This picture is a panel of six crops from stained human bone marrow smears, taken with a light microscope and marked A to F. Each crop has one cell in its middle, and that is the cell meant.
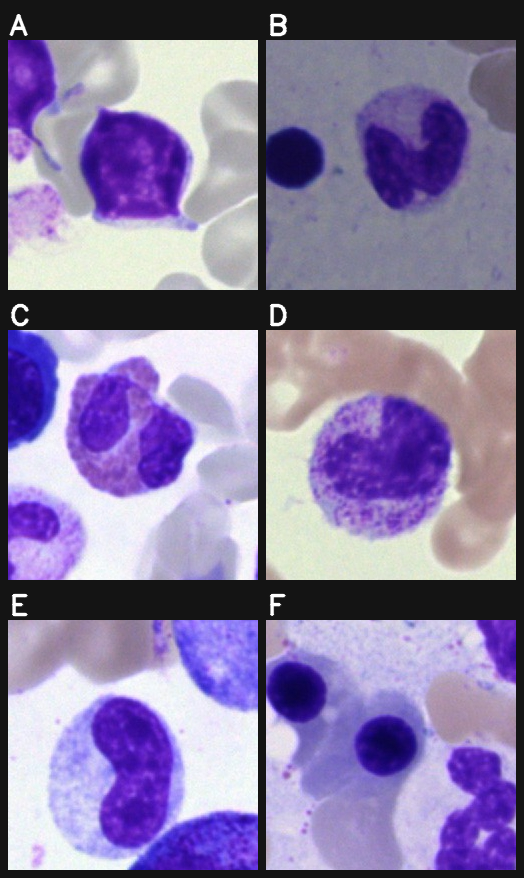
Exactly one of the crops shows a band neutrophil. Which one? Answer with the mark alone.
E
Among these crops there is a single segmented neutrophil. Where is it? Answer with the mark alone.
B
